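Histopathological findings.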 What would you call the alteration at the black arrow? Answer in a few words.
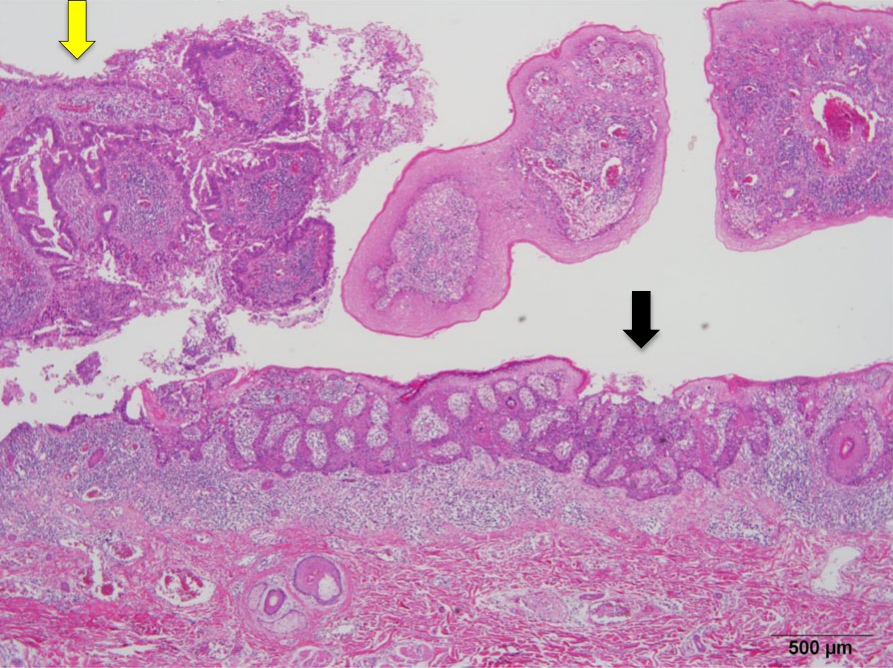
Pagetoid spread in the epidermis.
